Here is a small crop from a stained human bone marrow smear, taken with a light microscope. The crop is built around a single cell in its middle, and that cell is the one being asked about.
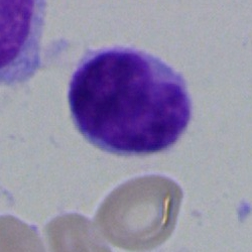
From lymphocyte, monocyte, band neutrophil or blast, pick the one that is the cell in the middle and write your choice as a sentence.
Where the crop is centred, there is a lymphocyte.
